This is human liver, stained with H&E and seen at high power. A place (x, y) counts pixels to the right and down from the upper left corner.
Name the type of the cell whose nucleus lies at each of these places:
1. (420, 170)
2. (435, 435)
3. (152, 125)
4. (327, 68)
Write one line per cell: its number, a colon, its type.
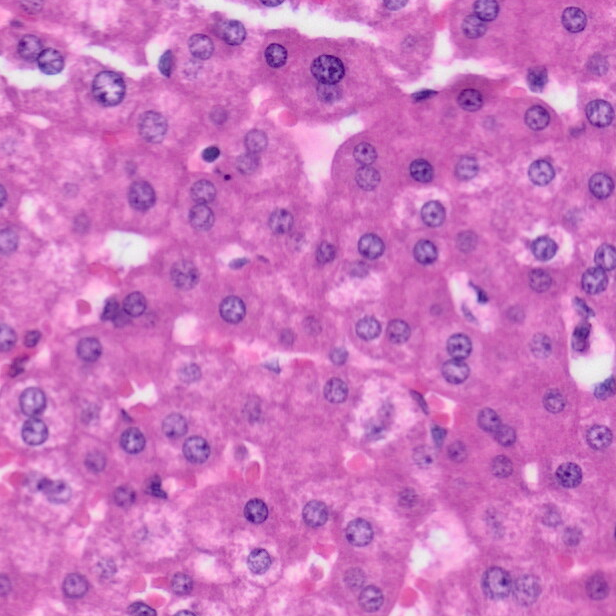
1: hepatocyte
2: fibroblast or stellate cell
3: hepatocyte
4: hepatocyte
